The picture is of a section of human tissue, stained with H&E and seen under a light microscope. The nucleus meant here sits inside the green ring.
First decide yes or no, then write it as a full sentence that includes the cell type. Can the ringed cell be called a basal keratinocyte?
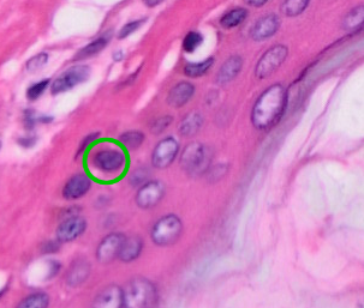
Yes, regarding cell type, the ringed cell is a basal keratinocyte.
